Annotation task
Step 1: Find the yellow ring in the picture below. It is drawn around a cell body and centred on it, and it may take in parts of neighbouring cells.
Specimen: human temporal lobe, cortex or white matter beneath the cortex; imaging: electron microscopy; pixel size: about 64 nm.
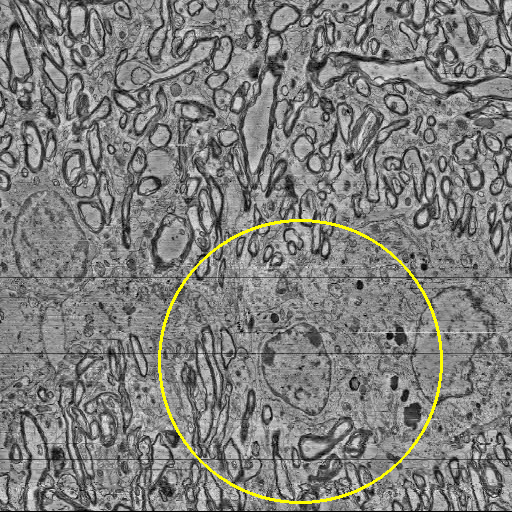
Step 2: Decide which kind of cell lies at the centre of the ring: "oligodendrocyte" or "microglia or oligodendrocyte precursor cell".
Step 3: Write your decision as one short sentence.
The kind of cell at the ring's centre is a microglial cell or oligodendrocyte precursor cell.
